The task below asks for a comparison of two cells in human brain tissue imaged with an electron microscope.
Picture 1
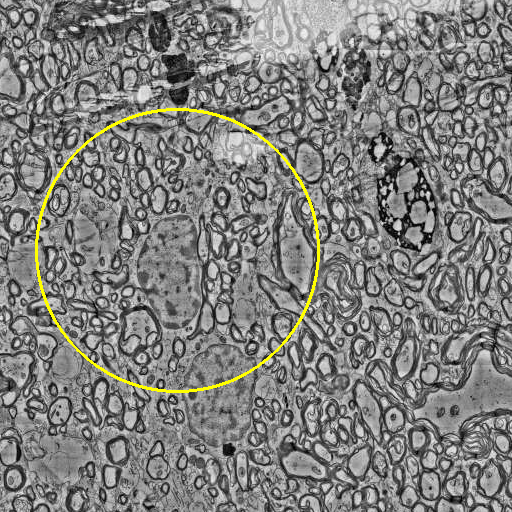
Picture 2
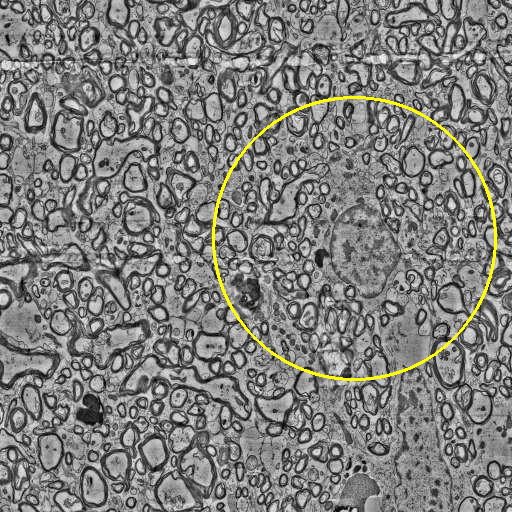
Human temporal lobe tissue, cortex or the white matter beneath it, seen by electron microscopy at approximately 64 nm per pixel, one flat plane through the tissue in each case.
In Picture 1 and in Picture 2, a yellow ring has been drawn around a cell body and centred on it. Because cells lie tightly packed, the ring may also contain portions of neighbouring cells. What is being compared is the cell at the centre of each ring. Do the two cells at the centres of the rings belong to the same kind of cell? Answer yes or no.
no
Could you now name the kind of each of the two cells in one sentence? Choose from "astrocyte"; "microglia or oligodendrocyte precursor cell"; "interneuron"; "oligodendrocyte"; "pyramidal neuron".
The first ring encloses a microglial cell or oligodendrocyte precursor cell; the second ring encloses an oligodendrocyte.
